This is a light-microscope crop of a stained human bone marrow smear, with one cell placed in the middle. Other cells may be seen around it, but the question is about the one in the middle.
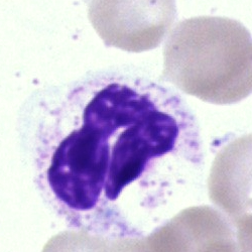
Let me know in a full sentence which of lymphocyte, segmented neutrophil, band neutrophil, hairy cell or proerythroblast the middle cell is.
Centrally within this crop lies a segmented neutrophil.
